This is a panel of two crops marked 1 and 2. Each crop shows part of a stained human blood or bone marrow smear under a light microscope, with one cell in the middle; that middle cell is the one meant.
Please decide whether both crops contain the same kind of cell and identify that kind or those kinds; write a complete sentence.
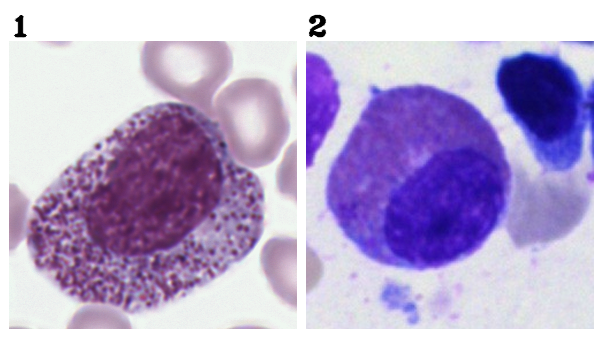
No, crop 1 displays a promyelocyte and crop 2 displays an eosinophil.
